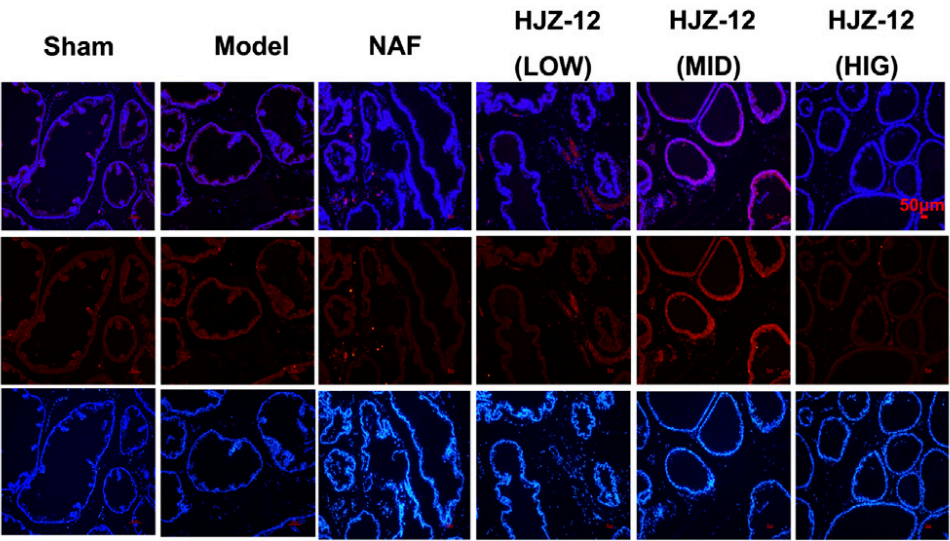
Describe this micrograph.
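The grid of fluorescence images shows sections of prostate made up of many glandular acini of varying size, some rounded and some irregular. Each acinus is lined by a thin layer of epithelium whose nuclei are stained blue, and many linings fold into the lumen as small projections. The lumens appear empty and dark, and sparse stroma with scattered blue nuclei lies between the glands. Red fluorescence follows the epithelial linings, more strongly in some images than in others.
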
